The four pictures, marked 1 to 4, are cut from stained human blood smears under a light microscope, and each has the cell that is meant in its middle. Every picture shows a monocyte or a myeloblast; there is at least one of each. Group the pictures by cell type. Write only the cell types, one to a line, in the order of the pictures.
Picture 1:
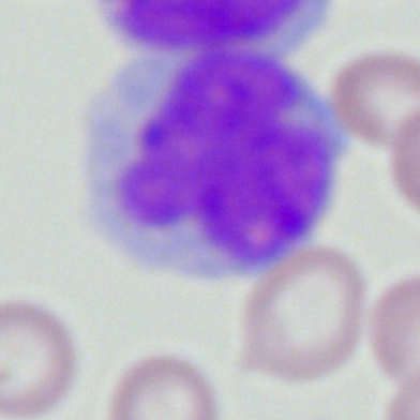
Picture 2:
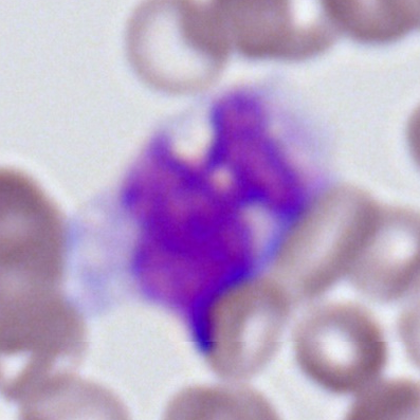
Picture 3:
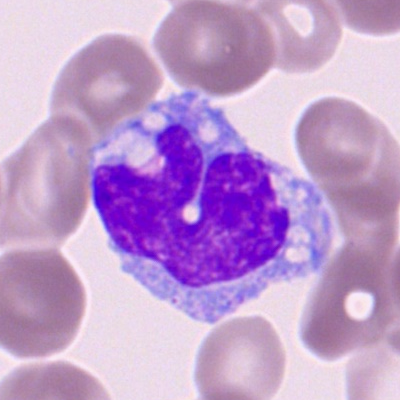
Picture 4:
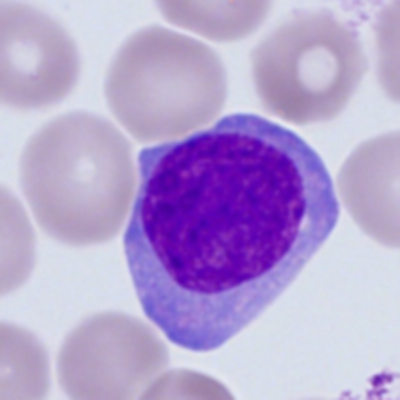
monocyte
monocyte
monocyte
myeloblast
